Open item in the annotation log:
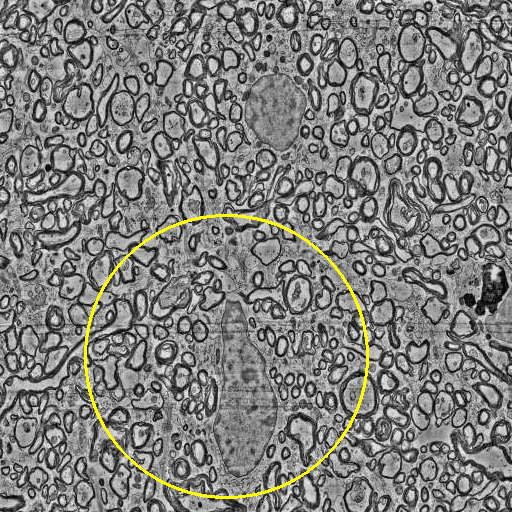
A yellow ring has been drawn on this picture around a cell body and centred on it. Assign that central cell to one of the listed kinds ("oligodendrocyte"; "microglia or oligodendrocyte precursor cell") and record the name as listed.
microglia or oligodendrocyte precursor cell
